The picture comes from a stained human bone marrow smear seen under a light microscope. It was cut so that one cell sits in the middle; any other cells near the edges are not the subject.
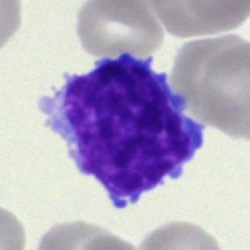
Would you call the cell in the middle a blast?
yes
